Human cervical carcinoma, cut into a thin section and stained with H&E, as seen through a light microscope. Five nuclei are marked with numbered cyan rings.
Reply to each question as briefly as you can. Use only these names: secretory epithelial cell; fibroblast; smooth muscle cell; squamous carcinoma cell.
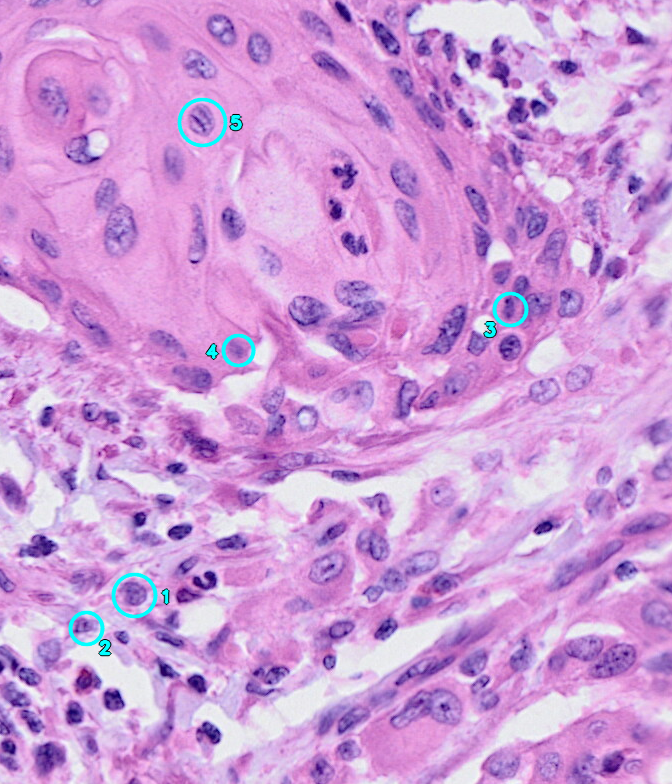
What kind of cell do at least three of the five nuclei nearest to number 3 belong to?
squamous carcinoma cell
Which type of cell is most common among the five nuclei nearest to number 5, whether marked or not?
squamous carcinoma cell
